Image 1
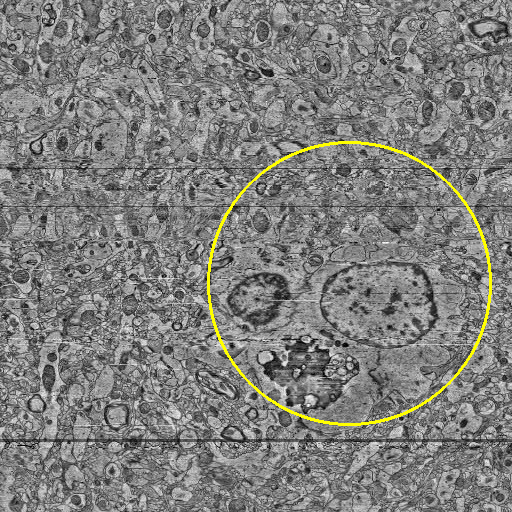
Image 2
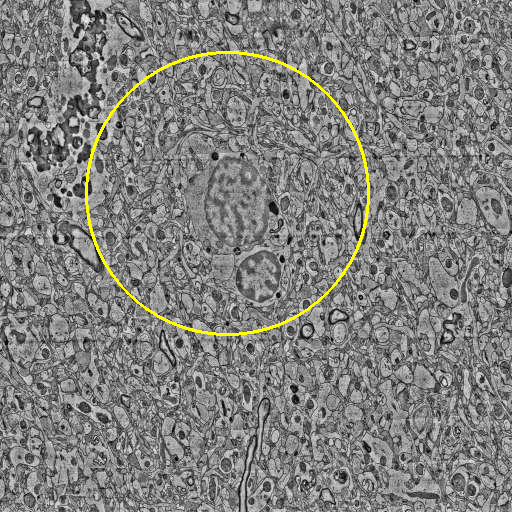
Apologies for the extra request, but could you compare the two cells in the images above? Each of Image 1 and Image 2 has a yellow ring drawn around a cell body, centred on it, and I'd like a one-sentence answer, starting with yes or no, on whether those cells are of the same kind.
No, the two cells are of two kinds.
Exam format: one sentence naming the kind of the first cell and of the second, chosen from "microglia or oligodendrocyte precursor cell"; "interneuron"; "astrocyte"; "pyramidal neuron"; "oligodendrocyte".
The first picture's cell is an astrocyte, and the second picture's cell is an oligodendrocyte.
